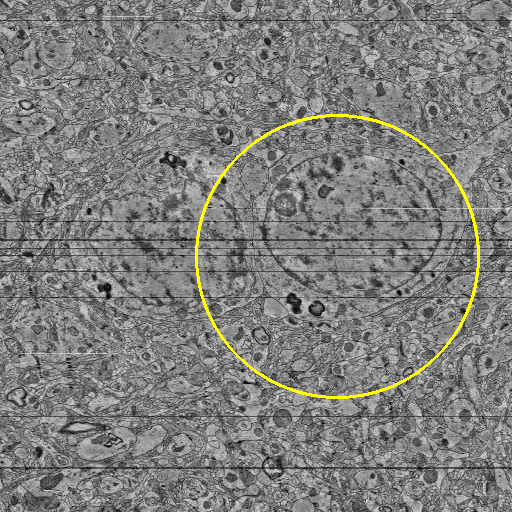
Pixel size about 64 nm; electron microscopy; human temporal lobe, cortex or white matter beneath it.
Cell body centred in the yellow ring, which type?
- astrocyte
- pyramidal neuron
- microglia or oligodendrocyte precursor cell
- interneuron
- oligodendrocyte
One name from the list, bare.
pyramidal neuron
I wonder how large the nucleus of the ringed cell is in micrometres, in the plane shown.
The nucleus appears roughly 11 by 10 micrometres in this plane.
